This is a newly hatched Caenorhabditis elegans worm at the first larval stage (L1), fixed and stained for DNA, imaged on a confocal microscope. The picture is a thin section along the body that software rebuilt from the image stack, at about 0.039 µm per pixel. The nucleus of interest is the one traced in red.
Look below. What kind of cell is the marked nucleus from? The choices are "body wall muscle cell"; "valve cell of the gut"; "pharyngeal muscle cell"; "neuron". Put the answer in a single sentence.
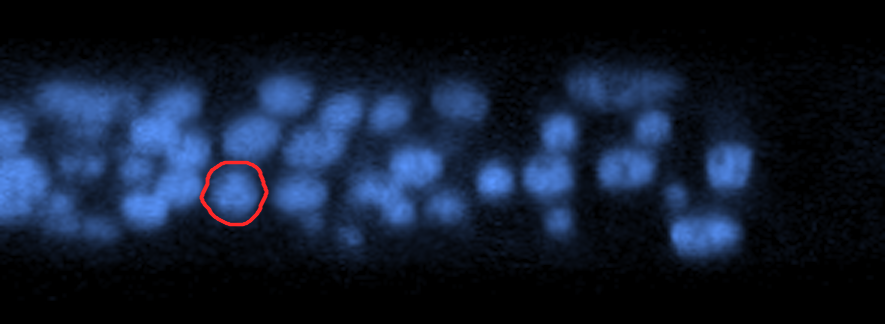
The cell with the marked nucleus is a neuron.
